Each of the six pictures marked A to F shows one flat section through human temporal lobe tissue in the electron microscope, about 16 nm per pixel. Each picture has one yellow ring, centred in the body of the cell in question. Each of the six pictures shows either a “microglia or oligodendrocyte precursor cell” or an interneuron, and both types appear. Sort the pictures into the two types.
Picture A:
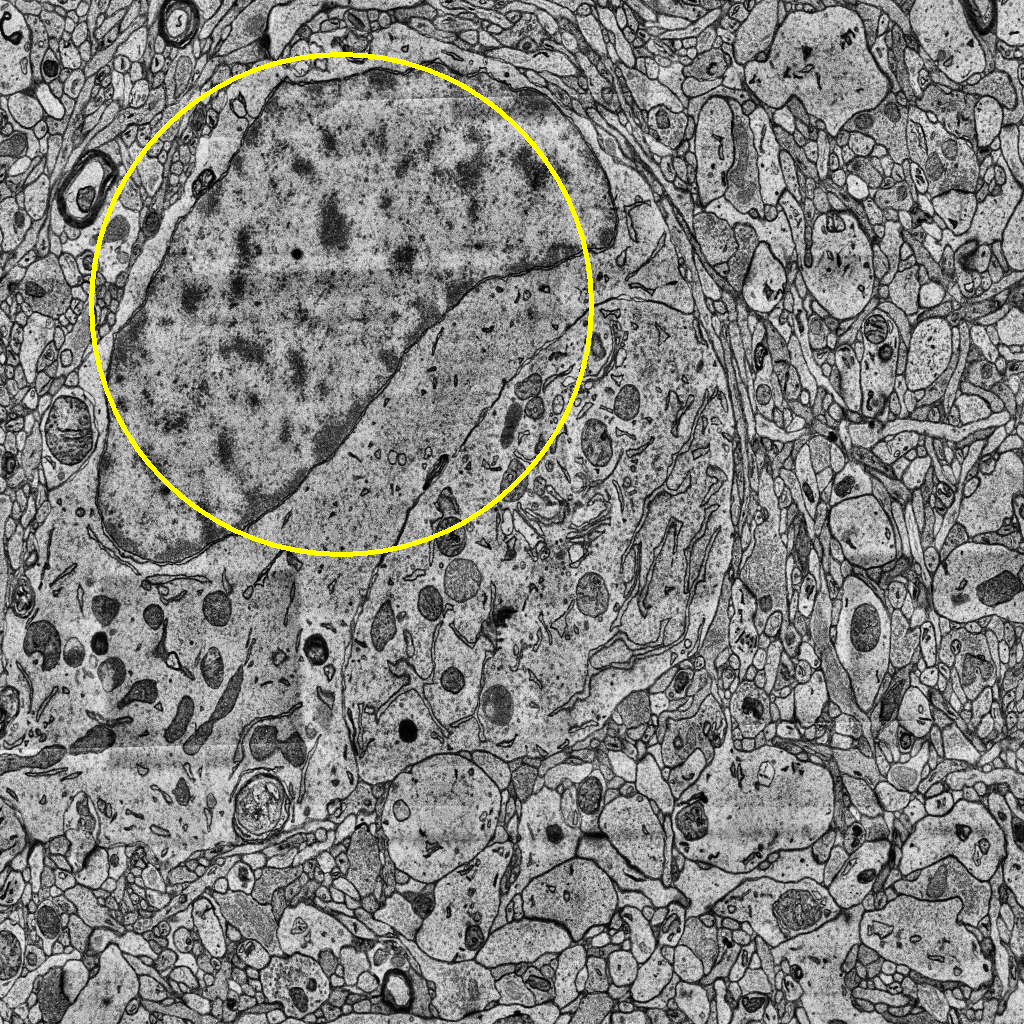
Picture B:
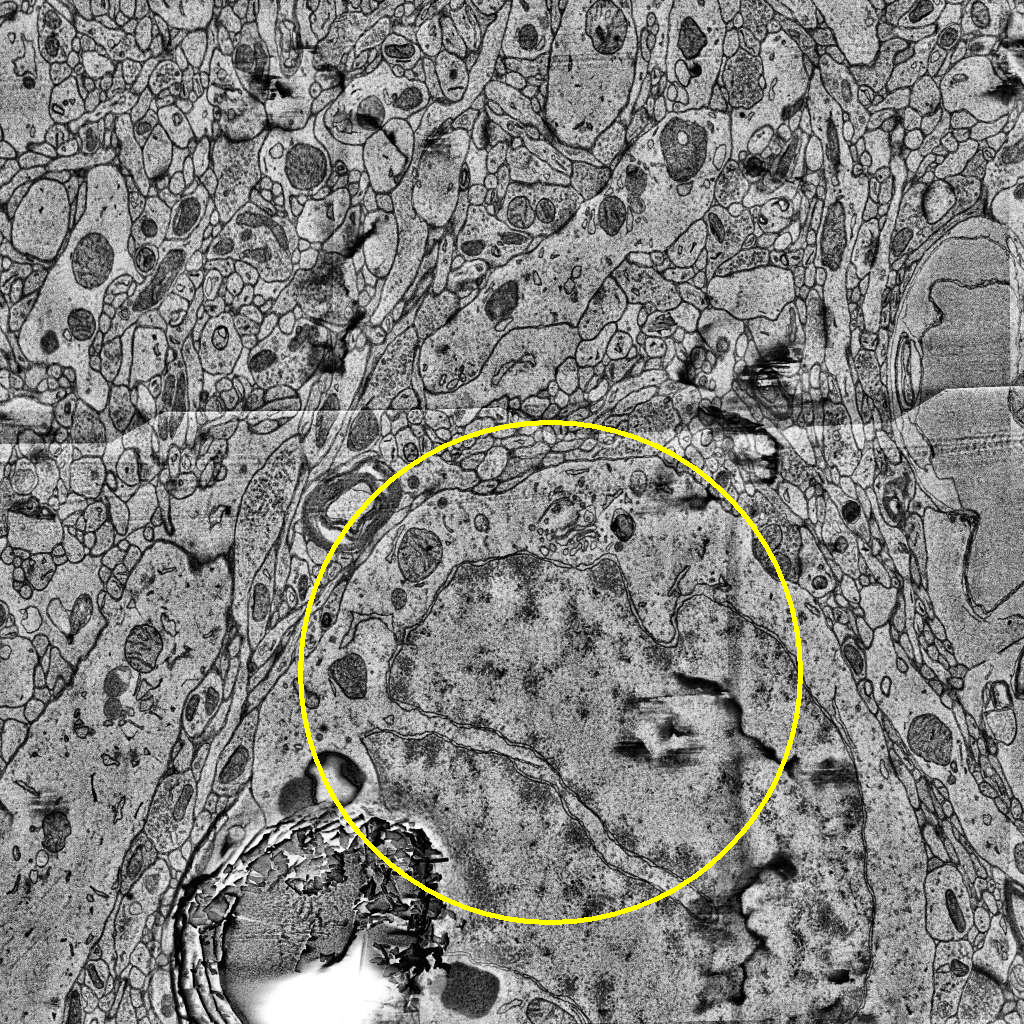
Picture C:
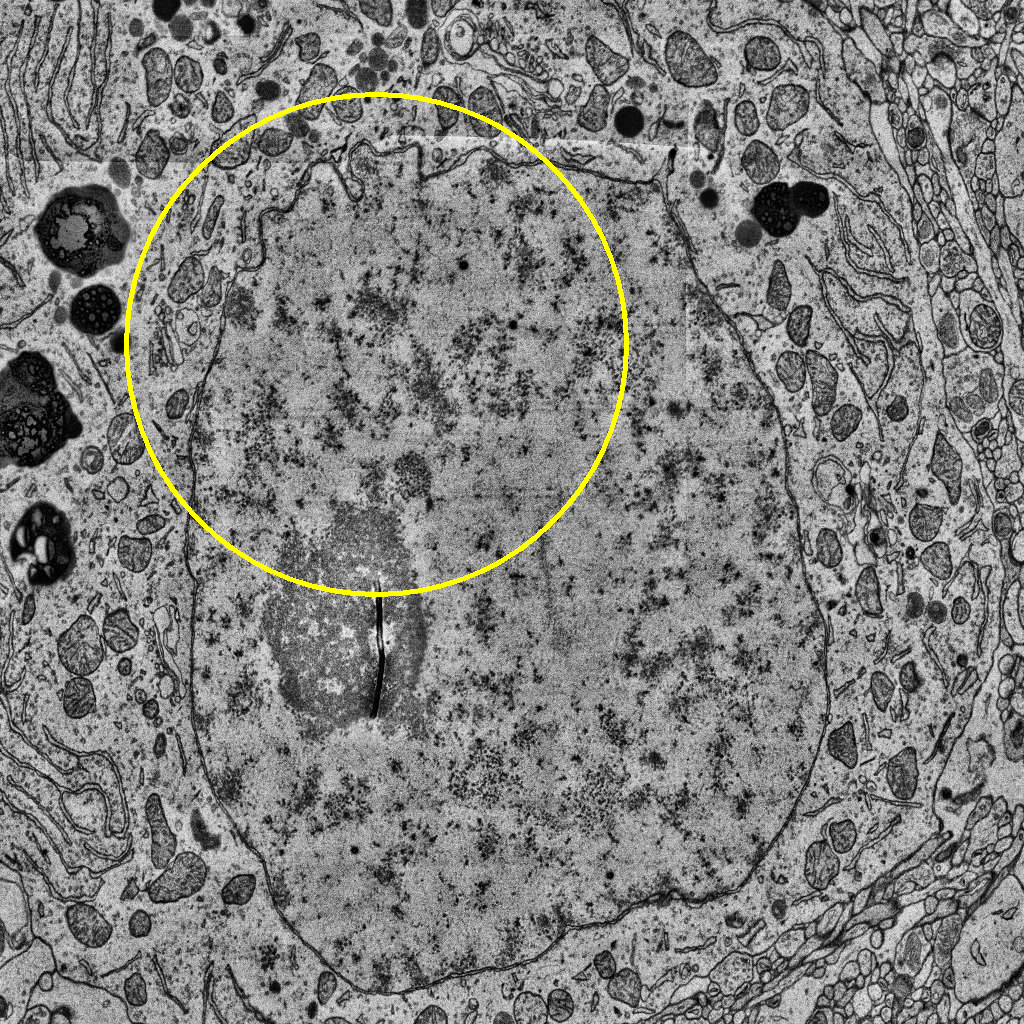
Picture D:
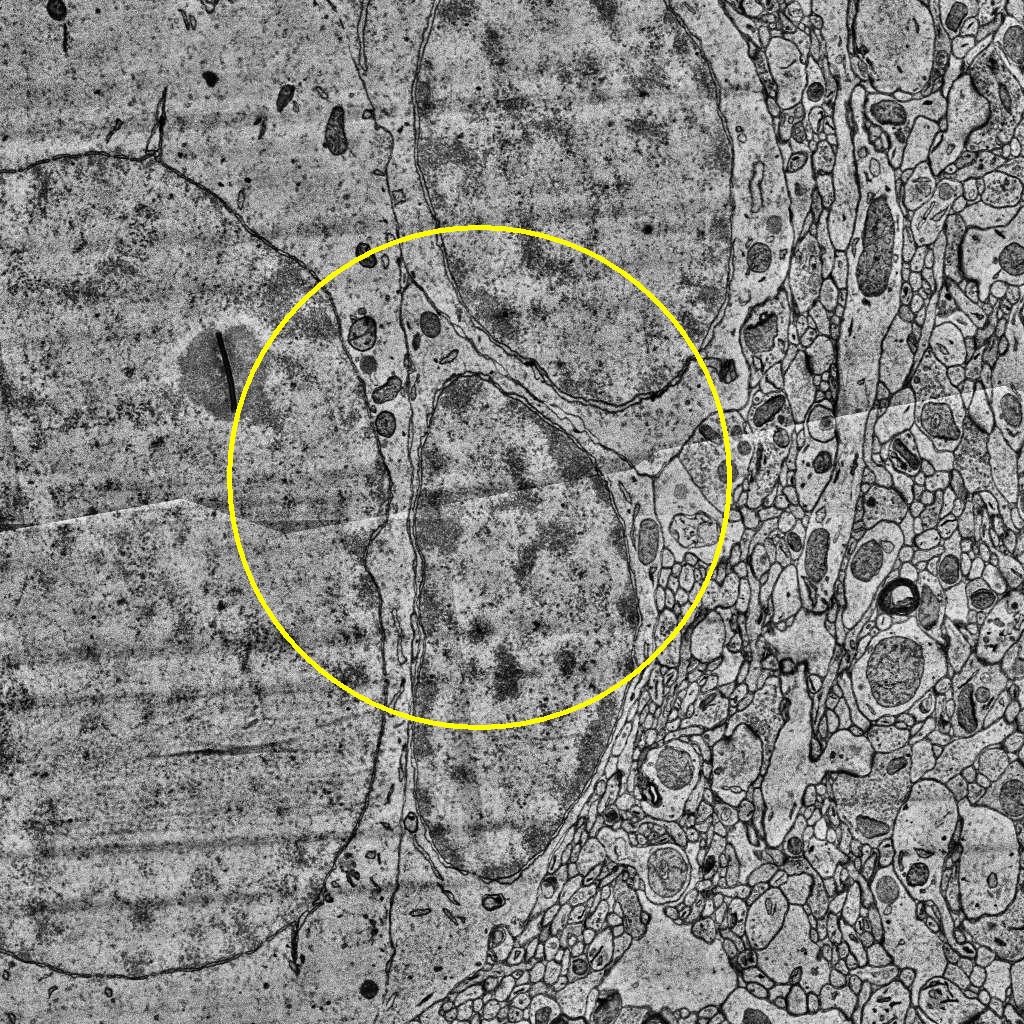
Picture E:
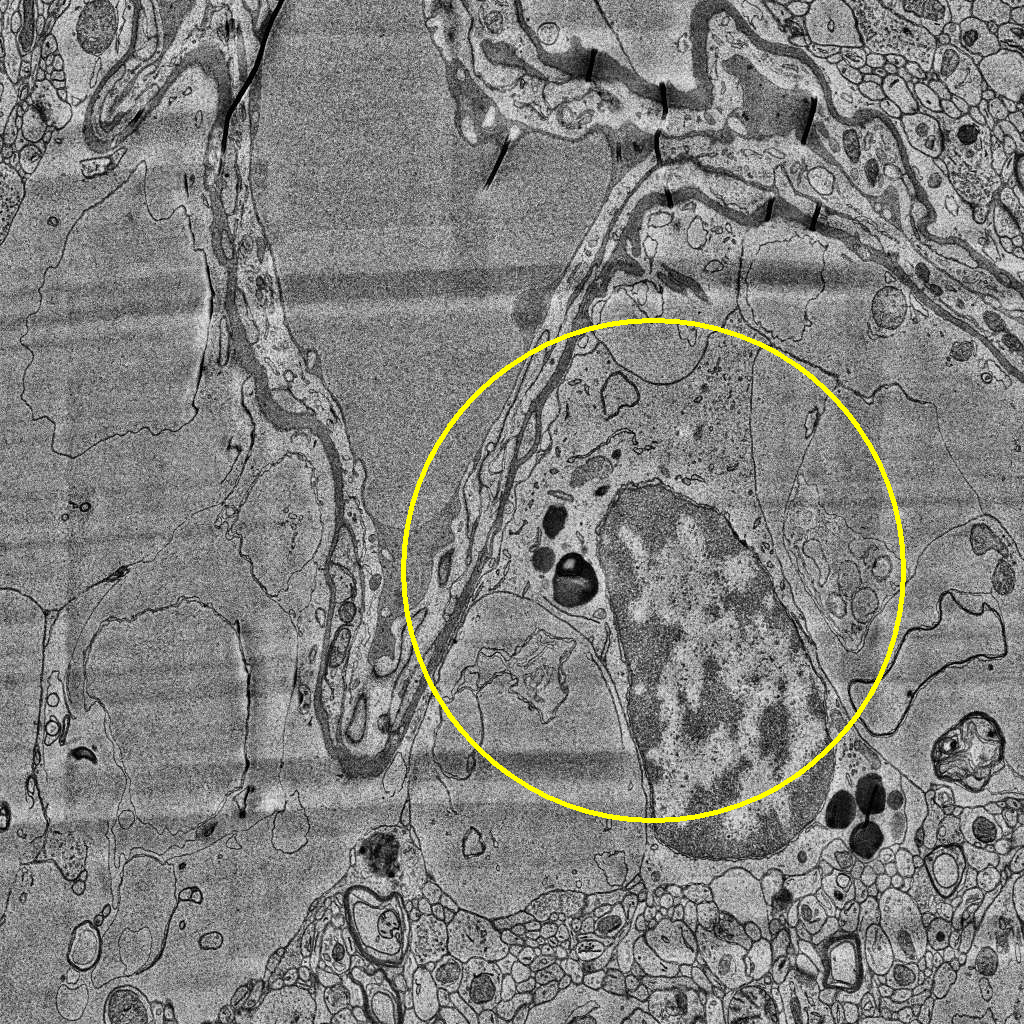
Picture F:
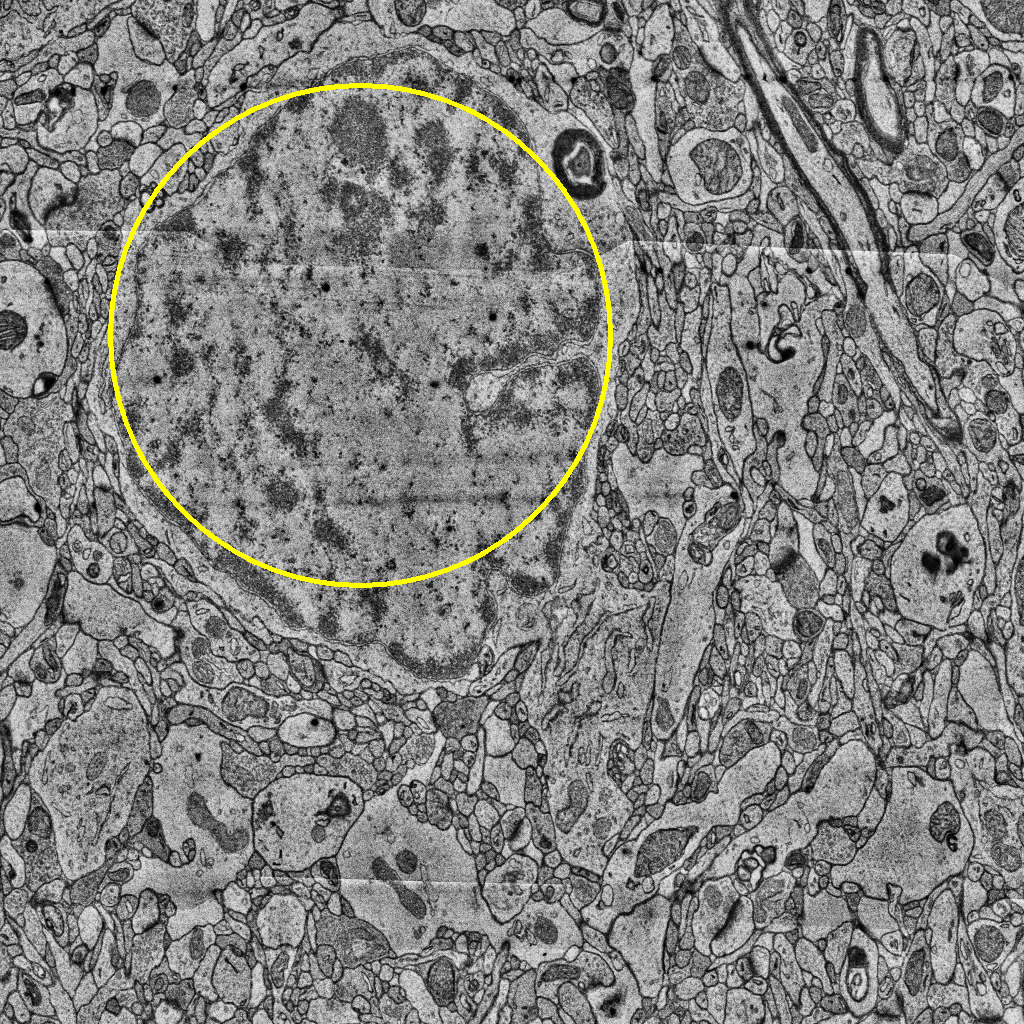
Pictures A, D, E and F show “microglia or oligodendrocyte precursor cells”, and pictures B and C show interneurons.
